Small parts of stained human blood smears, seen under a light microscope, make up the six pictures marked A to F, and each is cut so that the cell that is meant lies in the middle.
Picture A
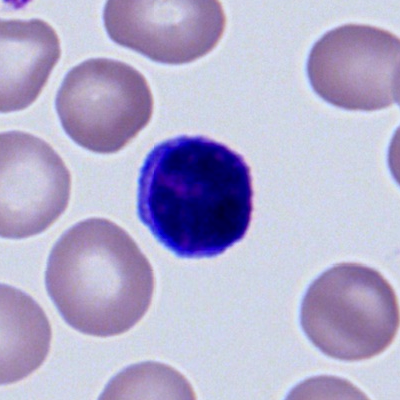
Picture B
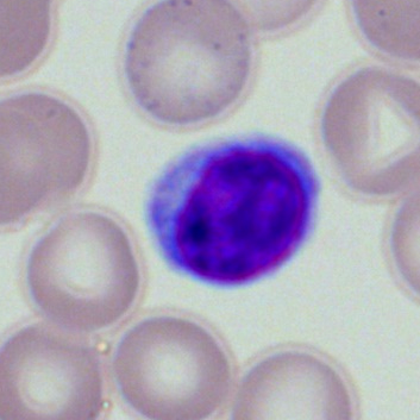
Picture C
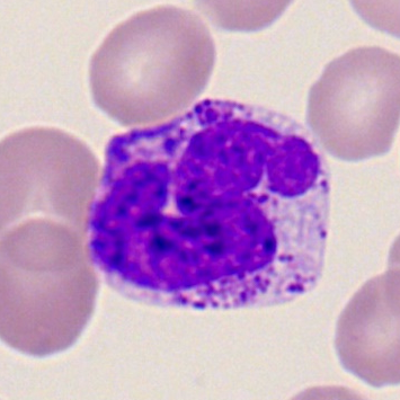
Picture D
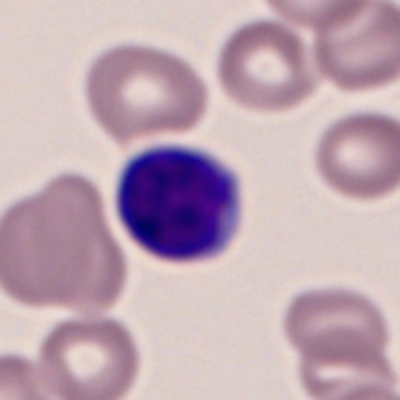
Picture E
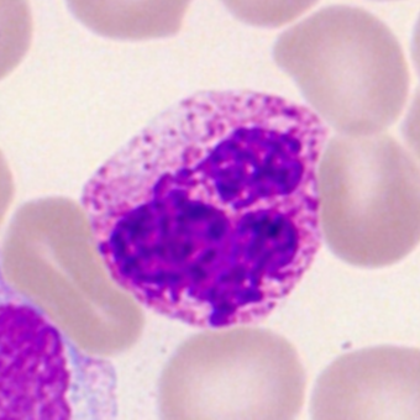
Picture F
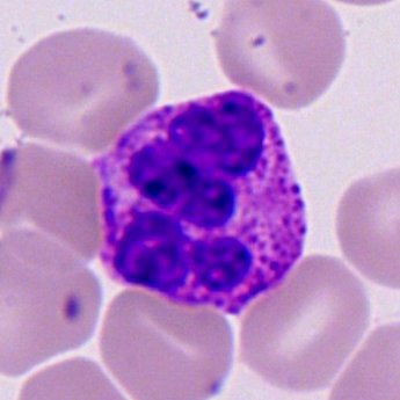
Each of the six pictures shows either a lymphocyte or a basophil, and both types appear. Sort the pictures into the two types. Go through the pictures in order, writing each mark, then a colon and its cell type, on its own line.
A: lymphocyte
B: lymphocyte
C: basophil
D: lymphocyte
E: basophil
F: basophil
